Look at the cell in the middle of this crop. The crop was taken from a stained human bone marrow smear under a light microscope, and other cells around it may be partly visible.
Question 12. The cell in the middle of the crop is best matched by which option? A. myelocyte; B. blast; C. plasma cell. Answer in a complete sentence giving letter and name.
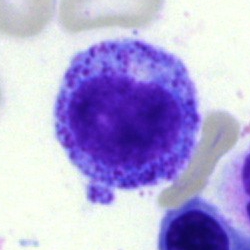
Option A is correct in that the central cell is a myelocyte.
